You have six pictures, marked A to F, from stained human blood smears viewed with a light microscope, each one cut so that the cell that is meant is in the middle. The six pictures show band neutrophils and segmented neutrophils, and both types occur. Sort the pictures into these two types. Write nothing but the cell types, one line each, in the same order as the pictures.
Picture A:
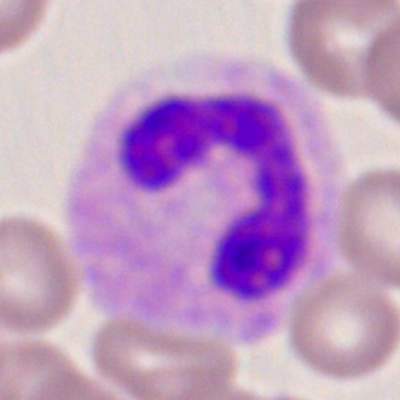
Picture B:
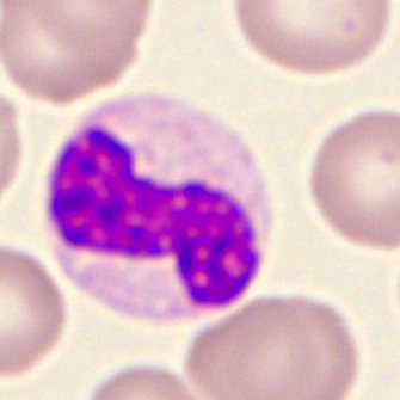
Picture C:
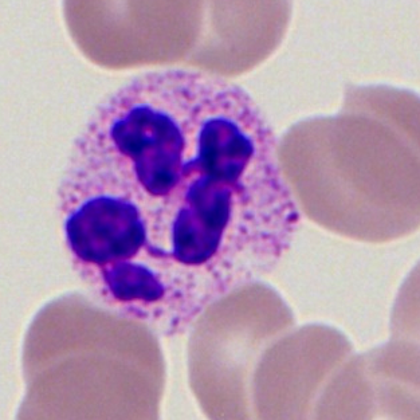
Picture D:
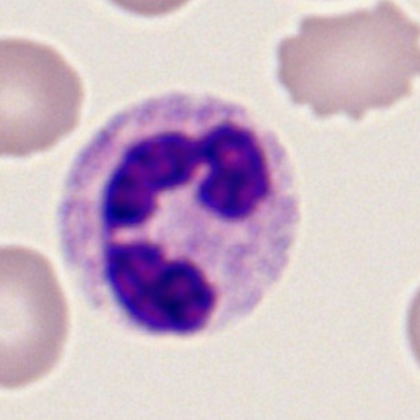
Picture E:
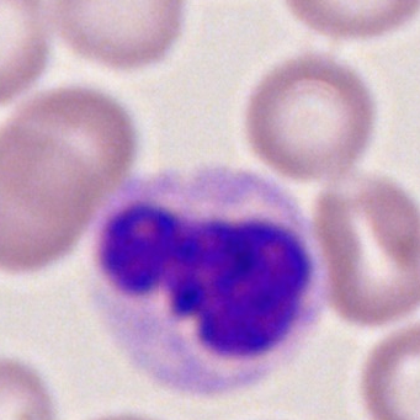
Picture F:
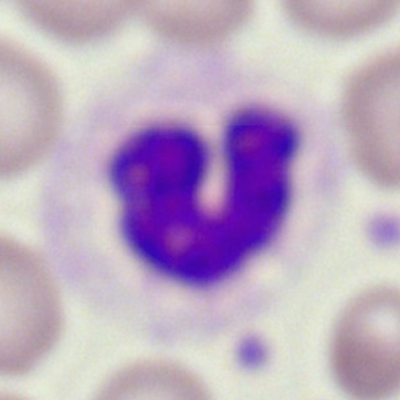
band neutrophil
band neutrophil
segmented neutrophil
segmented neutrophil
segmented neutrophil
band neutrophil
